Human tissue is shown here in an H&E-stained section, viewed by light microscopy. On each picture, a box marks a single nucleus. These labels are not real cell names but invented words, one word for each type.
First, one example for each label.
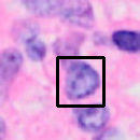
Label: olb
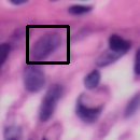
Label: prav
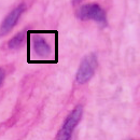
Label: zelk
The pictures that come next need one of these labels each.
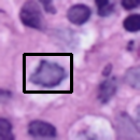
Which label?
olb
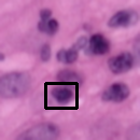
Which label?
prav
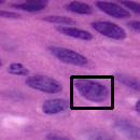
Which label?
prav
